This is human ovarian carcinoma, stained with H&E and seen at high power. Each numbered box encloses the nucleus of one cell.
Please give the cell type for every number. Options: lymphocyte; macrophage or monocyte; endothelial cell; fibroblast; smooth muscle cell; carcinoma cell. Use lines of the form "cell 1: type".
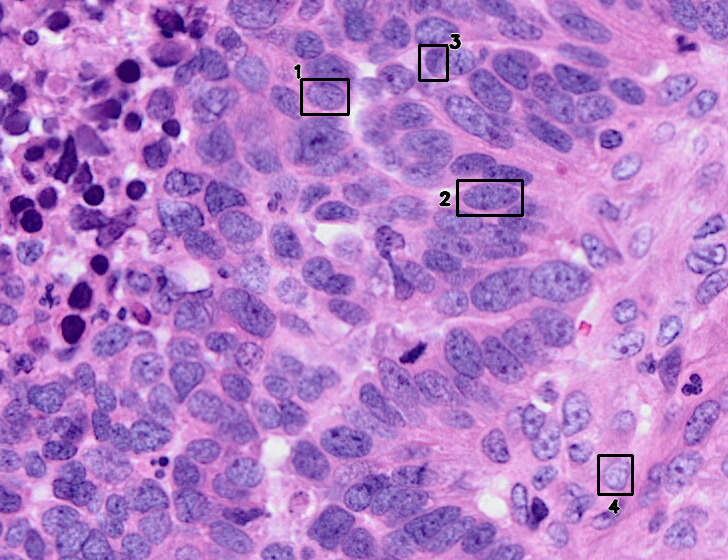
cell 1: carcinoma cell
cell 2: carcinoma cell
cell 3: carcinoma cell
cell 4: fibroblast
